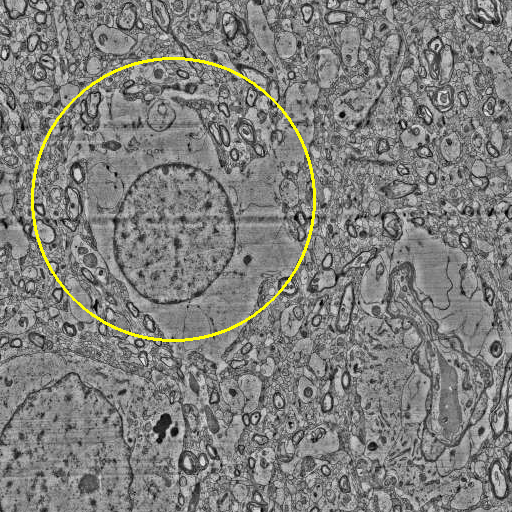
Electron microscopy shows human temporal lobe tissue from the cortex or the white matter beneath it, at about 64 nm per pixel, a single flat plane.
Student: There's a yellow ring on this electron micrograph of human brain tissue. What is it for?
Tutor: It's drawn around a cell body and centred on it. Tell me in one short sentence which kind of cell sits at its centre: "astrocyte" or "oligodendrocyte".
The cell at the centre of the ring is an astrocyte.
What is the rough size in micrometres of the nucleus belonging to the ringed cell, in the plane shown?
In this plane, approximately 8 micrometres across.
